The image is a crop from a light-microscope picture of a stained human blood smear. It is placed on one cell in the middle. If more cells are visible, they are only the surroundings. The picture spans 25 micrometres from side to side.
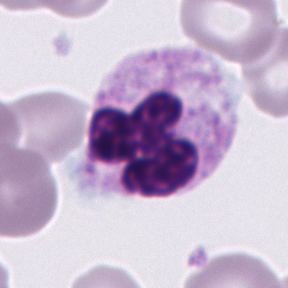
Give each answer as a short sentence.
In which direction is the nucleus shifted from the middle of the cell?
It is shifted toward the lower left of the cell.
